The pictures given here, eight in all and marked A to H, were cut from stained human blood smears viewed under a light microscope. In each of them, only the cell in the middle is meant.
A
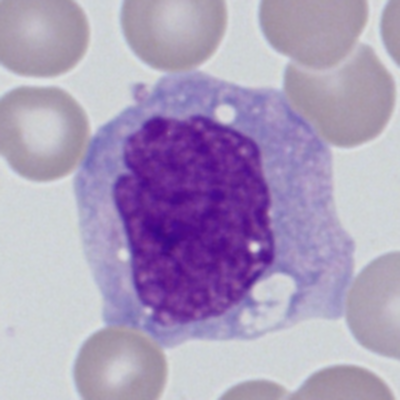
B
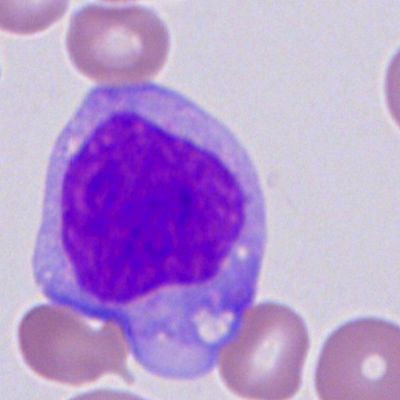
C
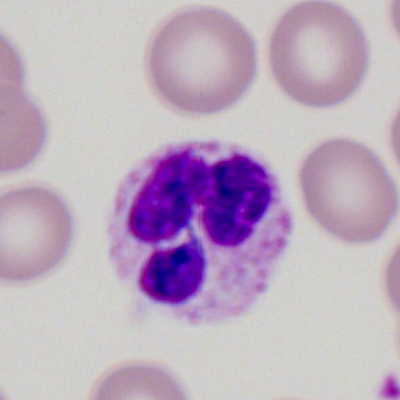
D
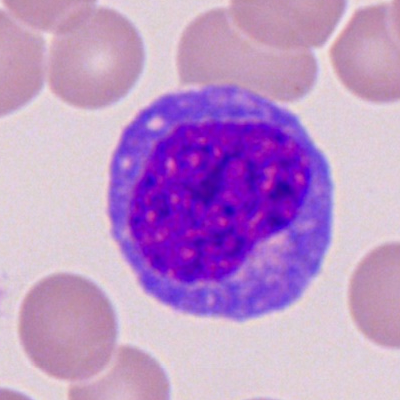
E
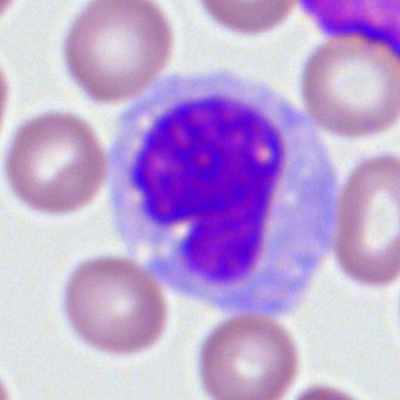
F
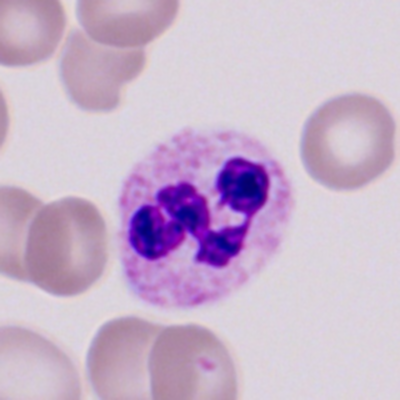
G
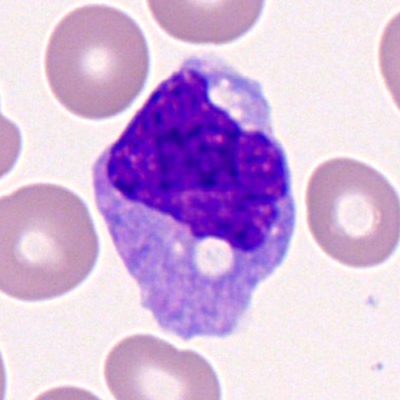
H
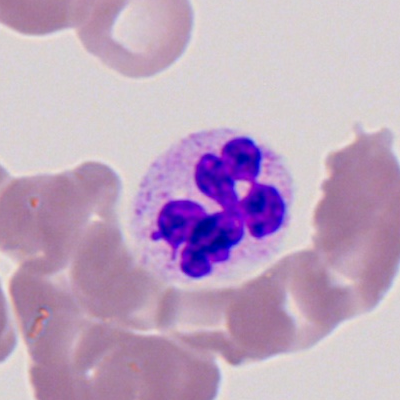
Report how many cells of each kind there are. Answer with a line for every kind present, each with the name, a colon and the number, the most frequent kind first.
monocyte: 5
segmented neutrophil: 3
